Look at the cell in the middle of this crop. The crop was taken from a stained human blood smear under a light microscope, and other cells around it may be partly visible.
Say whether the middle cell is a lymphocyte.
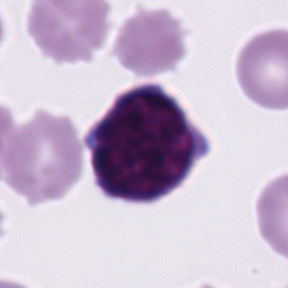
no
